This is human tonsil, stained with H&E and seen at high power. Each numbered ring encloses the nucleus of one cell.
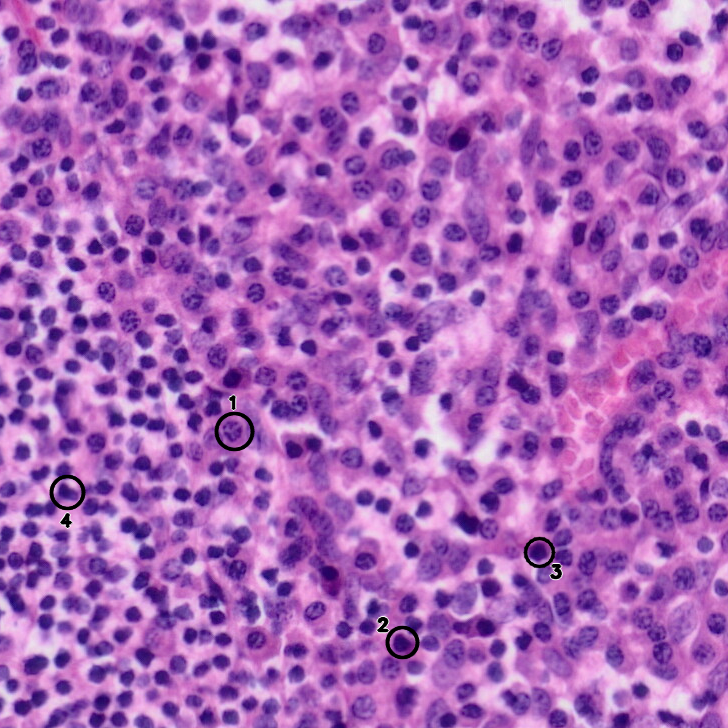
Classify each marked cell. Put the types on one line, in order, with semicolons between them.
plasma cell; plasma cell; plasma cell; small lymphocyte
